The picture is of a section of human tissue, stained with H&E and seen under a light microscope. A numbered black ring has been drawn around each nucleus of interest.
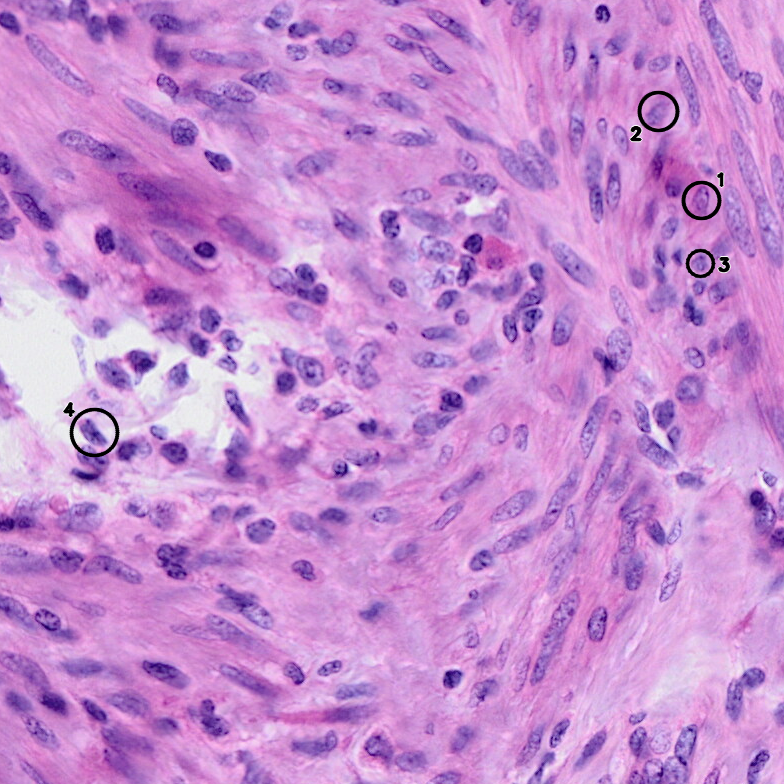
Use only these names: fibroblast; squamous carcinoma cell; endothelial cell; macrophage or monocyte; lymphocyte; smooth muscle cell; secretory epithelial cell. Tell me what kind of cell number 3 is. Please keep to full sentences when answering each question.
The identity of cell 3 is that of a smooth muscle cell.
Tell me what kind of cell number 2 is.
The nucleus with number 2 is that of a smooth muscle cell.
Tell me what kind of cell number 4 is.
The cell referred to as 4 is a lymphocyte.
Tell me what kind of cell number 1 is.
Within this field of view, the cell labelled 1 is a smooth muscle cell.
